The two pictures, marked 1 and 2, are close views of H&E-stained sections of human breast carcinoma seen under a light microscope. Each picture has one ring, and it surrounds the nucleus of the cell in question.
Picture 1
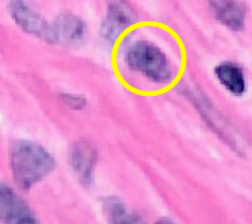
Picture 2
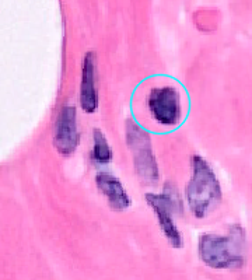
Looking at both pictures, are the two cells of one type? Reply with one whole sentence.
Yes, both are lymphocytes.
